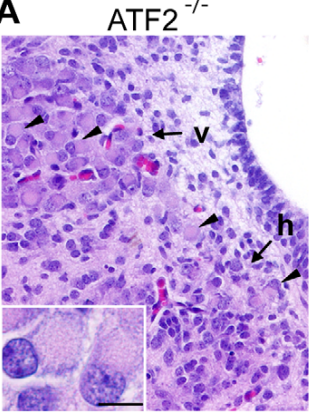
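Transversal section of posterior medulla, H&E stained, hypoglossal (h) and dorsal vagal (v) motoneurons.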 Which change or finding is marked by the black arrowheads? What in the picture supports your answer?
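Ballooned perikarya with eccentrically positioned nuclei. The marked cells have large, rounded, swollen cell bodies with pale pink cytoplasm. Their nuclei sit at the edge of the cell body rather than in the centre.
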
